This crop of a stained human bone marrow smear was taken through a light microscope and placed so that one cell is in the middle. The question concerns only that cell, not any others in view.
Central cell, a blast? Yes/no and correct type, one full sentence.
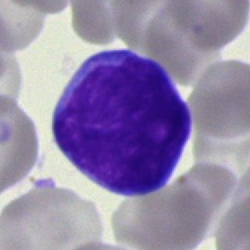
Yes, the central cell is to be recorded as a blast.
